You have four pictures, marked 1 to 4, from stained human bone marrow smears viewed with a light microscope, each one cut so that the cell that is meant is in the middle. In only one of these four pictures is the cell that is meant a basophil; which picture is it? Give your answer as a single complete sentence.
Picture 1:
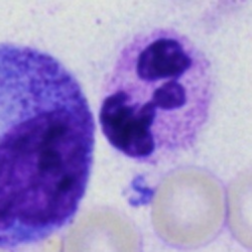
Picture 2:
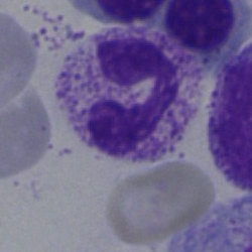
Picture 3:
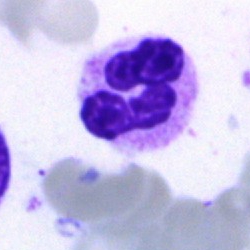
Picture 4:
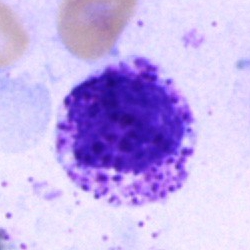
The basophil is the one in picture 4.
